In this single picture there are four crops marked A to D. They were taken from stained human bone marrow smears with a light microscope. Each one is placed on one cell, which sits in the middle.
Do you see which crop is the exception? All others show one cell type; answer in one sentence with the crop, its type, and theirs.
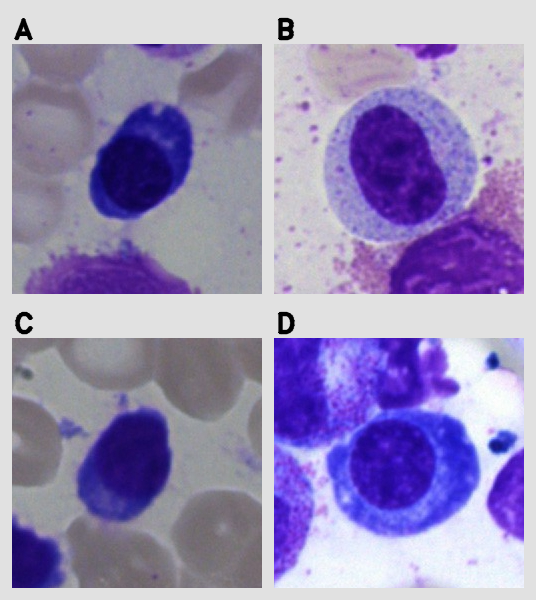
The pattern of plasma cells across the crops is broken only by crop B, which shows a myelocyte.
